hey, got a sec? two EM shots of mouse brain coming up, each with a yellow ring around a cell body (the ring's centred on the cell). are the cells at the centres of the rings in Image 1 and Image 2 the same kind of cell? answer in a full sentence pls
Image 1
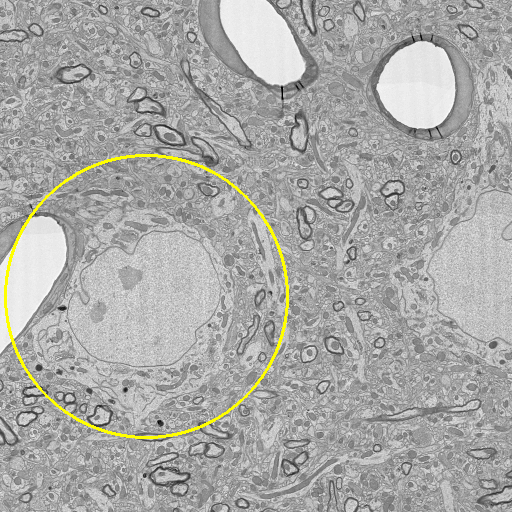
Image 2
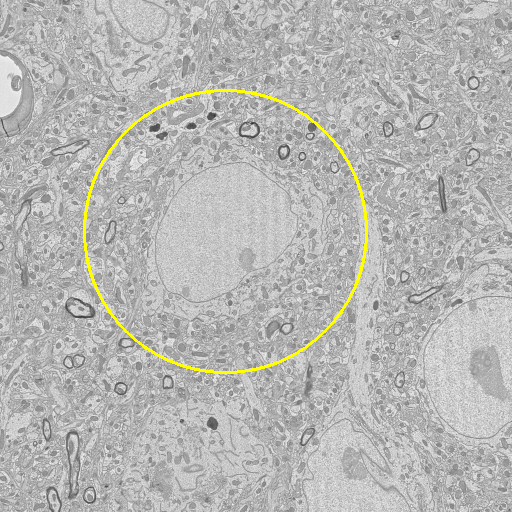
Yes, both are the same kind of cell.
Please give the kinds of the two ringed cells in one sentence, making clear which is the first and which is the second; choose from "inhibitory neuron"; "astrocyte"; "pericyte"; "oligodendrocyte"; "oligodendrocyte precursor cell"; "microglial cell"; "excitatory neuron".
The second cell is an excitatory neuron, just as the first is.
